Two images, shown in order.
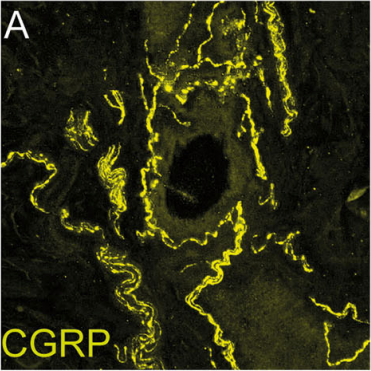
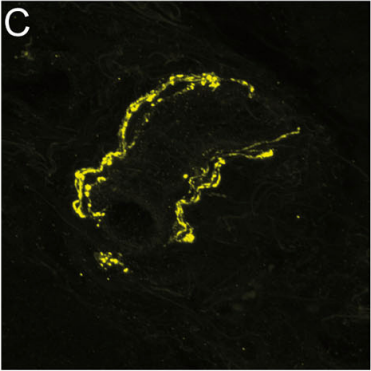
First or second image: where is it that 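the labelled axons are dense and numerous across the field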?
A: the first image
